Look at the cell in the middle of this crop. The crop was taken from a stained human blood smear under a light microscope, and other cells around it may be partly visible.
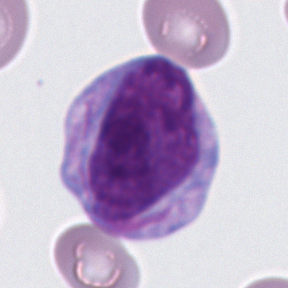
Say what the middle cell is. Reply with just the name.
atypical promyelocyte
